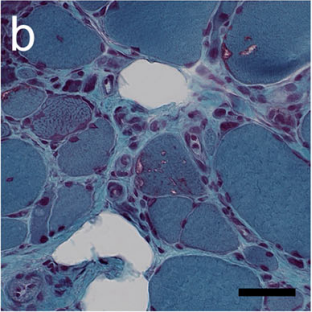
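Skeletal muscle is cut across, its fibers rounded and of unequal size and stained blue-green. Many small purple nuclei crowd the connective tissue between the fibers.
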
